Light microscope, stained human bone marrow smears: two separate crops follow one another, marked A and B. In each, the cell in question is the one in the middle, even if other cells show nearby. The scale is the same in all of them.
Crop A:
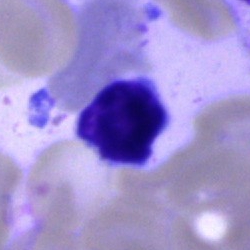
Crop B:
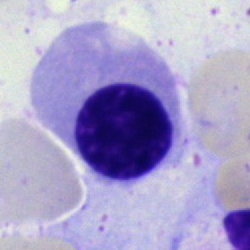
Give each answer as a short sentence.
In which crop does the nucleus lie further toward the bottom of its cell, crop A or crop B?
In crop B the nucleus is shifted more toward the bottom.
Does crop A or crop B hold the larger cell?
Crop B holds the larger cell; it covers about 2.5 times the area of the cell in crop A.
